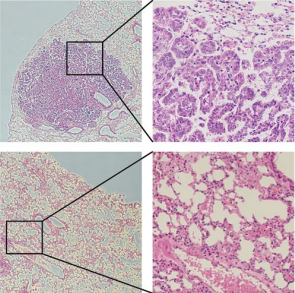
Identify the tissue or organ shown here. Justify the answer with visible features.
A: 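The lower images show a lace-like network of thin pink walls around empty airspaces. The tissue is stained pink and purple.
Lungs.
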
